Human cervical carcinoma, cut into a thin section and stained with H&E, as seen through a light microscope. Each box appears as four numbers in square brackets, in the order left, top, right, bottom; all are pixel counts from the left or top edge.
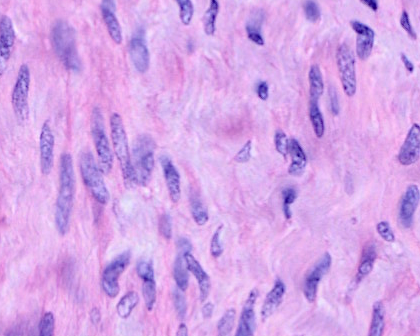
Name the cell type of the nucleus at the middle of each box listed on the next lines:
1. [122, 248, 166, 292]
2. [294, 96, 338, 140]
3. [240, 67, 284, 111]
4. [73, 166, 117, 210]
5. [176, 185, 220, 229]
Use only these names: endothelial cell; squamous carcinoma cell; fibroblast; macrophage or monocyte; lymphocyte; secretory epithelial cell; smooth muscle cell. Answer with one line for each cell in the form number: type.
1: smooth muscle cell
2: fibroblast
3: fibroblast
4: smooth muscle cell
5: smooth muscle cell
